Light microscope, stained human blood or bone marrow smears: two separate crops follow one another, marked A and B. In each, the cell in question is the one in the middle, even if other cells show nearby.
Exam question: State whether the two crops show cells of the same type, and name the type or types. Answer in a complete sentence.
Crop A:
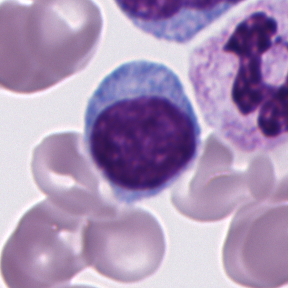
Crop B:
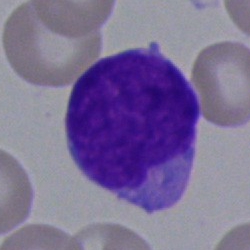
No, a blast is in crop B, and a lymphocyte is in crop A.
